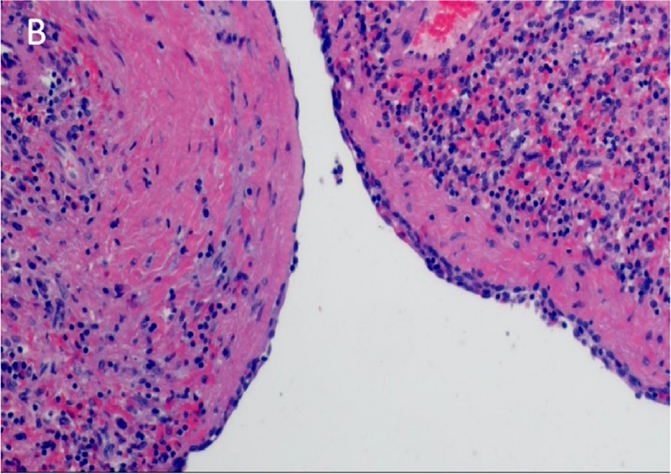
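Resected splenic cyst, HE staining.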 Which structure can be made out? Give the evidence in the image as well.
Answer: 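Single layer of cuboidal or flattened epithelium. The free surfaces facing the empty space are covered by one row of cells. The lining cells are flat to low cuboidal with small dark nuclei. Beneath the lining lies pink fibrous wall with scattered cells.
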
